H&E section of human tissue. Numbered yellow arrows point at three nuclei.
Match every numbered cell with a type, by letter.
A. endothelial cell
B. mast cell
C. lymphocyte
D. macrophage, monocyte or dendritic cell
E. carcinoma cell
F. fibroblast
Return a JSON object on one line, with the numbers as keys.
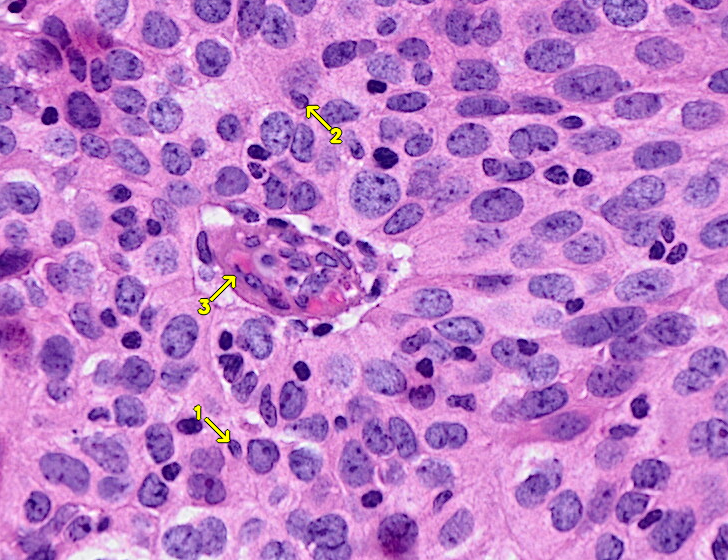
{"1": "C", "2": "E", "3": "A"}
